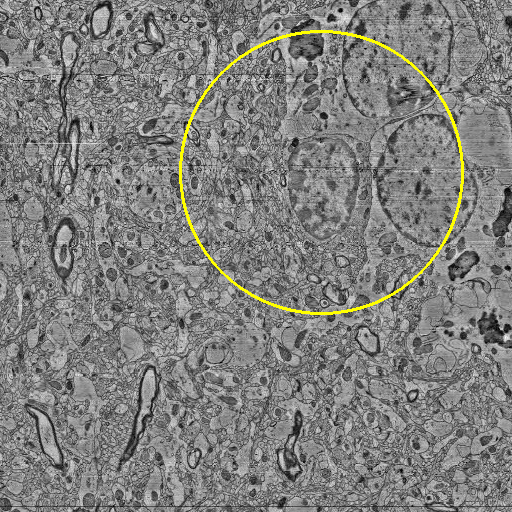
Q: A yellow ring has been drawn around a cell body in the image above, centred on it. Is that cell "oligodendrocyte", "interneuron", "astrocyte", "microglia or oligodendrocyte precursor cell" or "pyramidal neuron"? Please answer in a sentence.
The ring surrounds the cell body of an oligodendrocyte.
